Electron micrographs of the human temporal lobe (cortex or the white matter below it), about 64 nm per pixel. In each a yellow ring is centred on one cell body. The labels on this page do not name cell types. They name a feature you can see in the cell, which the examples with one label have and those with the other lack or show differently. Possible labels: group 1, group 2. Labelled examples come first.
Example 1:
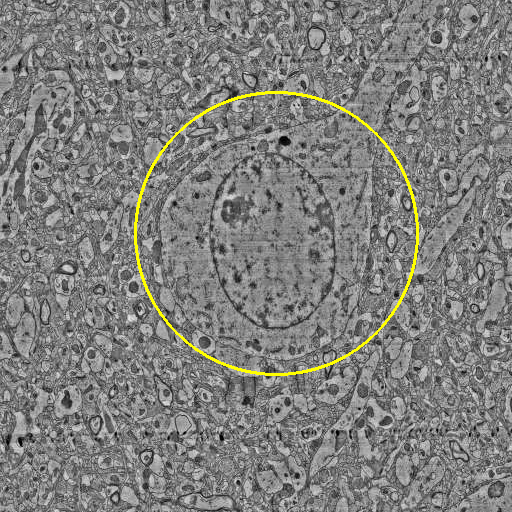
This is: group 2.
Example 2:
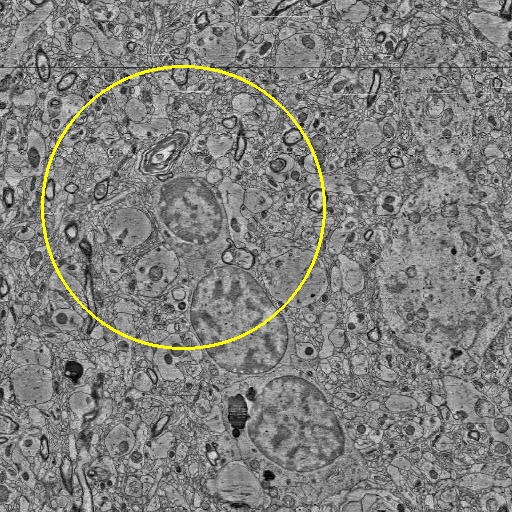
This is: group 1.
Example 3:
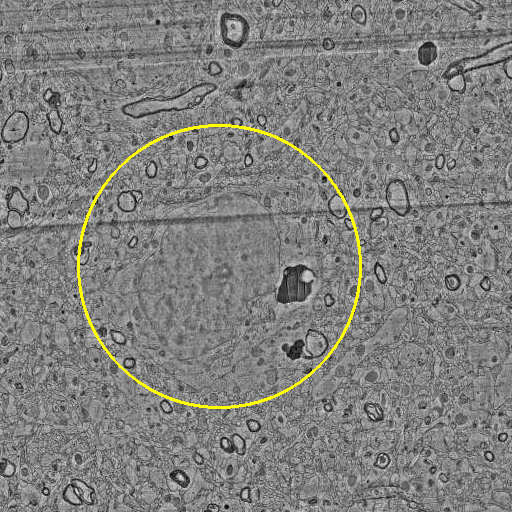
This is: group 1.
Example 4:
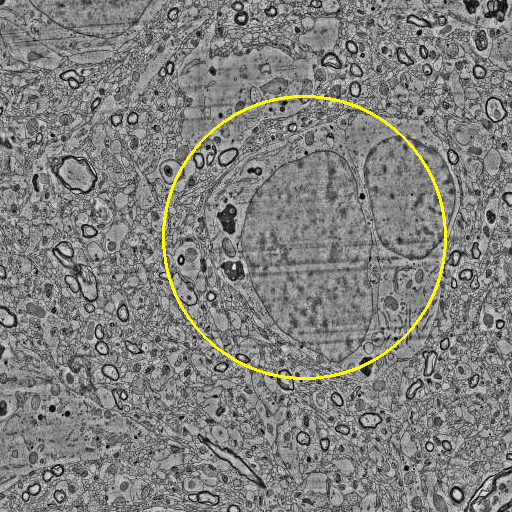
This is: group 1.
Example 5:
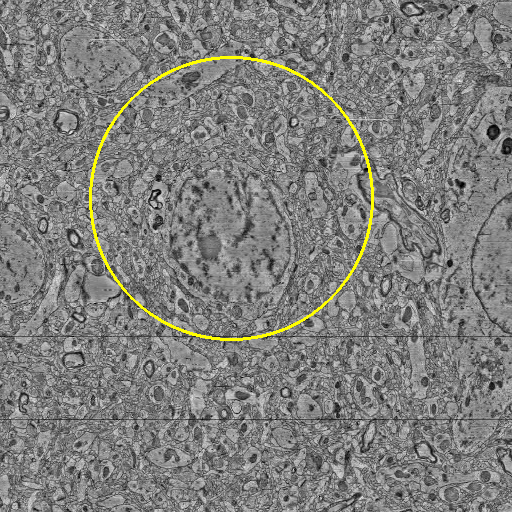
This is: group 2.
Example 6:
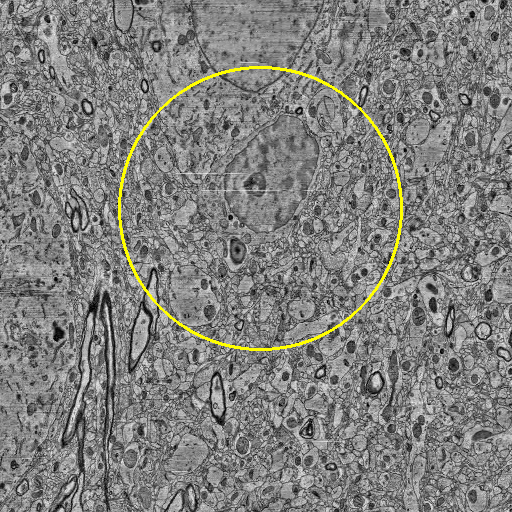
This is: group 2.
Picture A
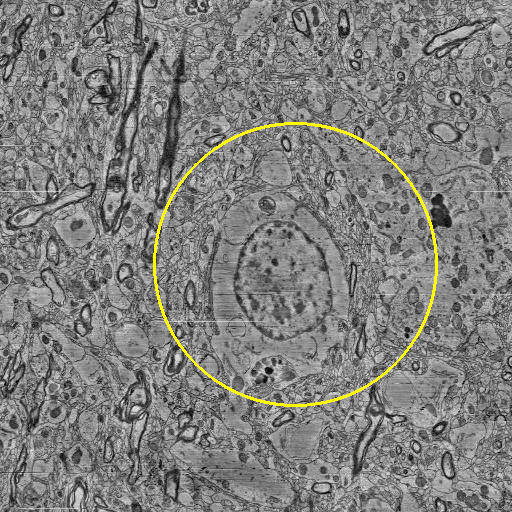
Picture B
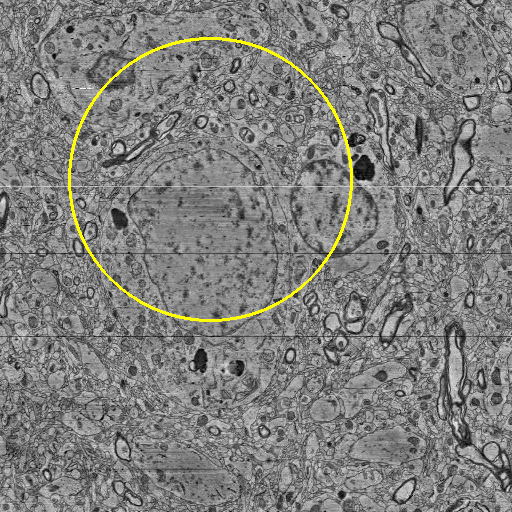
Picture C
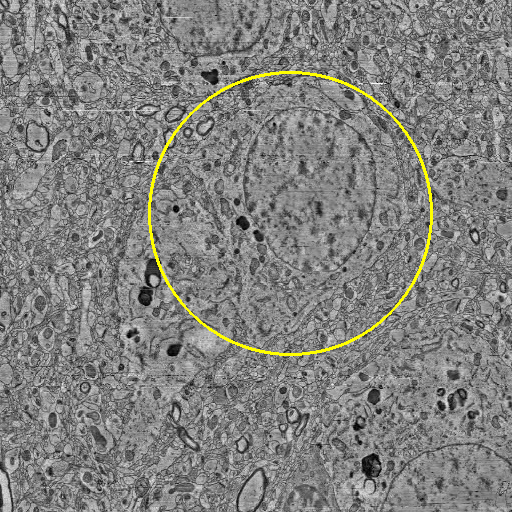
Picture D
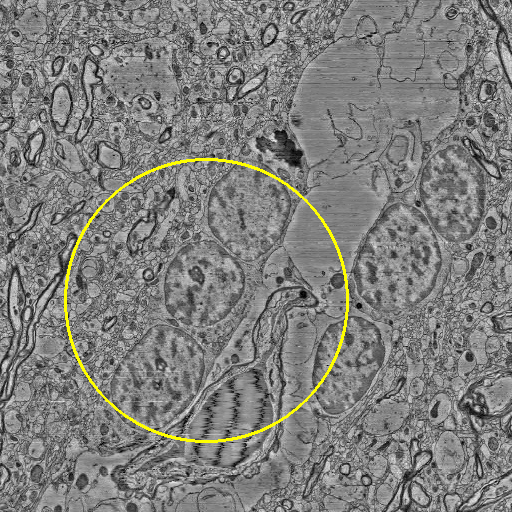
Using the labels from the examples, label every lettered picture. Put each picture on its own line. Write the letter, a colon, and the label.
A: group 1.
B: group 1.
C: group 1.
D: group 2.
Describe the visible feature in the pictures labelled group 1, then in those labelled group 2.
group 1: no nucleolus seen; group 2: nucleolus seen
